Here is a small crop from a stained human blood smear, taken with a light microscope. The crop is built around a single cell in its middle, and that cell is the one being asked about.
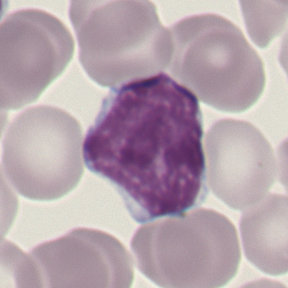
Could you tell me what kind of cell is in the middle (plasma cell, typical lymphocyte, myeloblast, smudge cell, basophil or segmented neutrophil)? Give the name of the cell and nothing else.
typical lymphocyte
